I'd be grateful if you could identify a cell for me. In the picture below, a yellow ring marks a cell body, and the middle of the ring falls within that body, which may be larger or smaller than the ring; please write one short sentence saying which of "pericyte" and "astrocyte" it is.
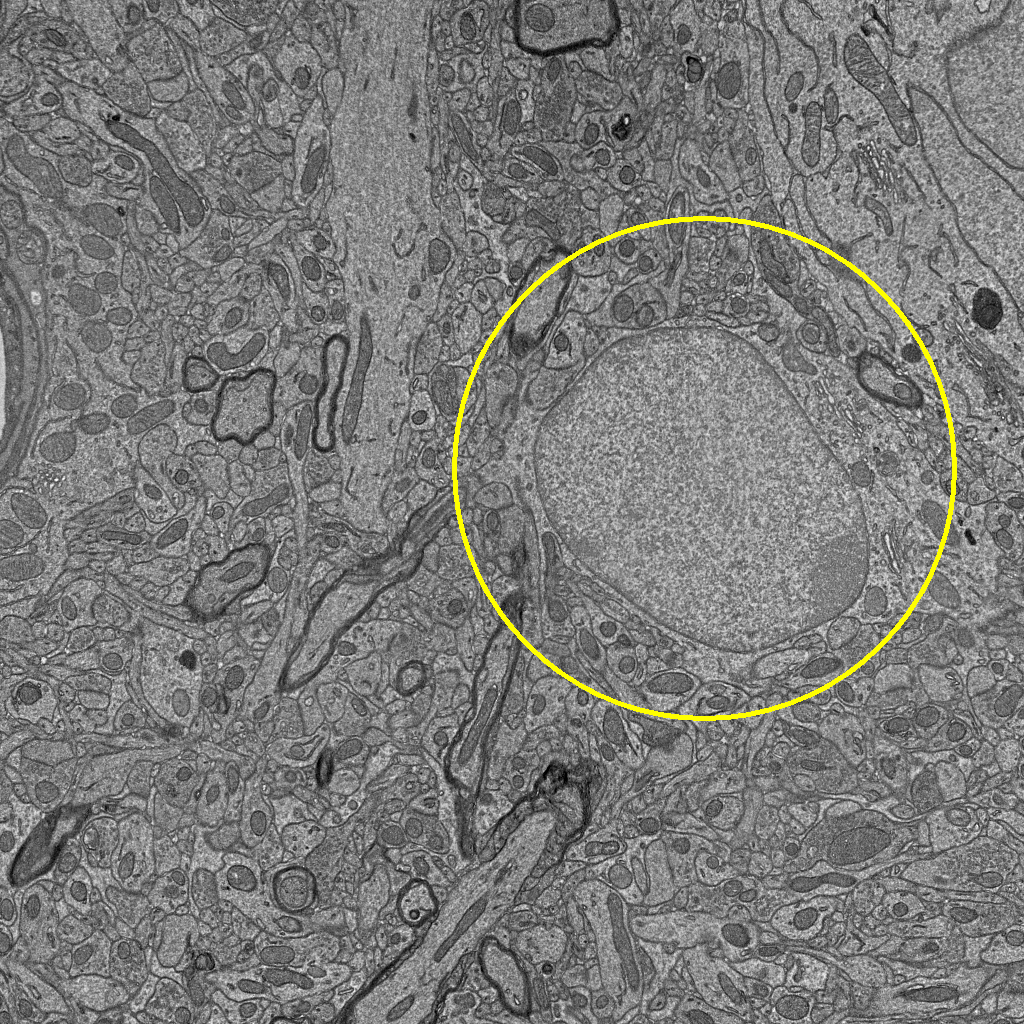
The cell under the ring's centre is an astrocyte.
